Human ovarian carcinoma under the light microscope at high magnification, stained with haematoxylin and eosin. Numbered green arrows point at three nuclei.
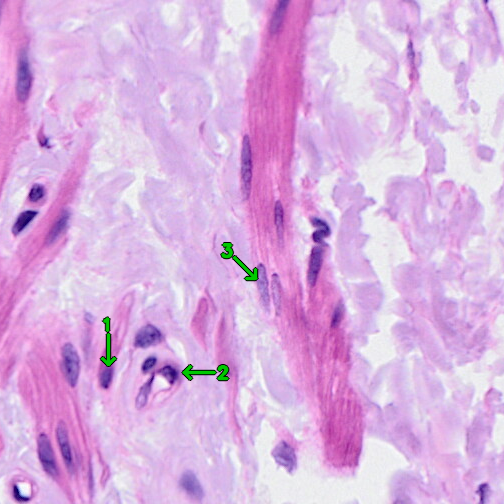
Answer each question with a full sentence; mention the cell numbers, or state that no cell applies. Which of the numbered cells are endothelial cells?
The nucleus labelled 2 alone belongs to an endothelial cell; the other marked nuclei do not.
